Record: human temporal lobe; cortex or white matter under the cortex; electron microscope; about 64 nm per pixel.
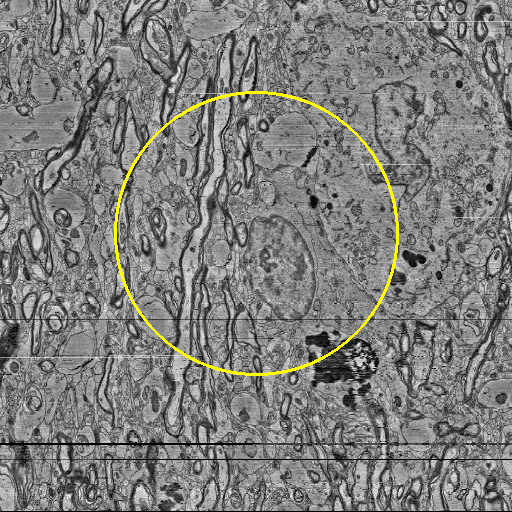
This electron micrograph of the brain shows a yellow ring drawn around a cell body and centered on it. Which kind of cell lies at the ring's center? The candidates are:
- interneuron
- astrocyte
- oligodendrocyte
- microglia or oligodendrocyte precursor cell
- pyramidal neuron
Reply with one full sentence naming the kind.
The cell lying at the ring's center in this micrograph is an oligodendrocyte.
